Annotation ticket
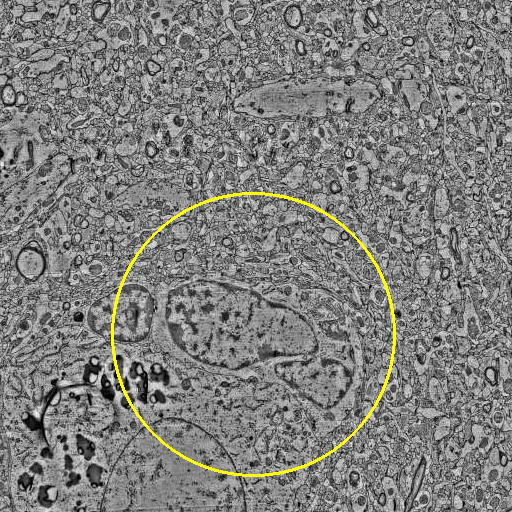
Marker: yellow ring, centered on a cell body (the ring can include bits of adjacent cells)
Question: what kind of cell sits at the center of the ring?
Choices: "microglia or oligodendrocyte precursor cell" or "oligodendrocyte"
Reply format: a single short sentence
The ring is centered on a microglial cell or oligodendrocyte precursor cell.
